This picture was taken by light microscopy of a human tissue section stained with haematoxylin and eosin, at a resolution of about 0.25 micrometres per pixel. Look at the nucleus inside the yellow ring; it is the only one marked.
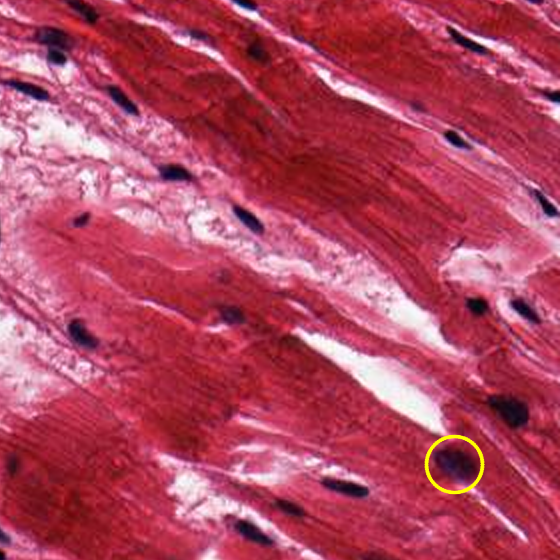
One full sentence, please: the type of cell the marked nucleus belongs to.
In this section, the marked nucleus is that of a cardiomyocyte.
